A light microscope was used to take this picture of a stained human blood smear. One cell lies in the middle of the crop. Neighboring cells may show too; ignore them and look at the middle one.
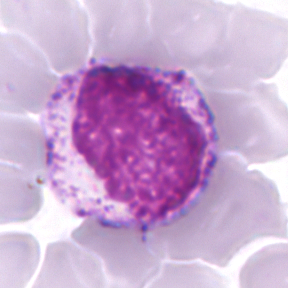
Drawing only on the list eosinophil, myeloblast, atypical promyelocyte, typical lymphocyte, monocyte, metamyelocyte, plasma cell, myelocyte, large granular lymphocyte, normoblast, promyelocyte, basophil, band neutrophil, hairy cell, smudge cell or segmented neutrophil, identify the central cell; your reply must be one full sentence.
For this crop, the cell in the middle is a myelocyte.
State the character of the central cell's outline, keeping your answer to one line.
A ragged or projecting edge replaces the smooth outline in this cell.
